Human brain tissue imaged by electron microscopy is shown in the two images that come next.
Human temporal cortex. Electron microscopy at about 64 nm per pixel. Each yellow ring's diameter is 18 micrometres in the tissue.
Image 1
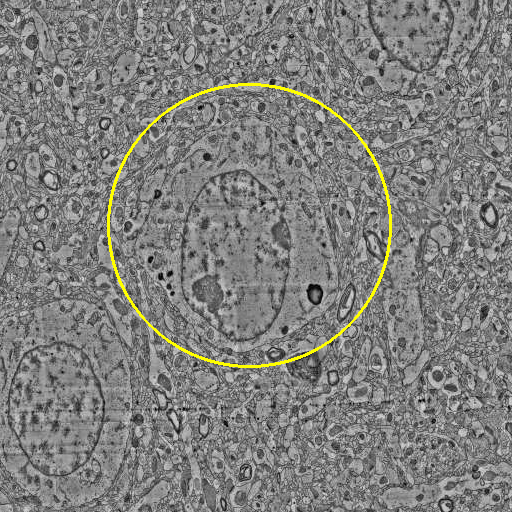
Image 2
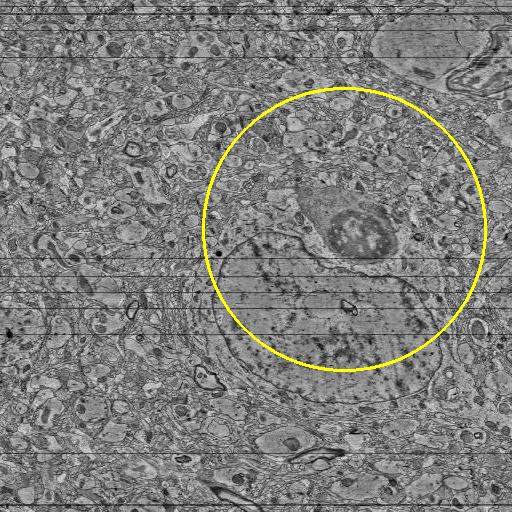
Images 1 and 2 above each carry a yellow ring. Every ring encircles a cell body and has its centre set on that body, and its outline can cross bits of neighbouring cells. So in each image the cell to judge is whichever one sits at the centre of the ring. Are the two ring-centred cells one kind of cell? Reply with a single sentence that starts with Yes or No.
No, in Image 1 and Image 2 the cells at the centres of their rings fall into two types.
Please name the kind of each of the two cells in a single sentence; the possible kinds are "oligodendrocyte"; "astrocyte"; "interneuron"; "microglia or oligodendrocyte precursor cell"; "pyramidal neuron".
In the first picture the ring is centred on a pyramidal neuron, and in the second on an oligodendrocyte.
